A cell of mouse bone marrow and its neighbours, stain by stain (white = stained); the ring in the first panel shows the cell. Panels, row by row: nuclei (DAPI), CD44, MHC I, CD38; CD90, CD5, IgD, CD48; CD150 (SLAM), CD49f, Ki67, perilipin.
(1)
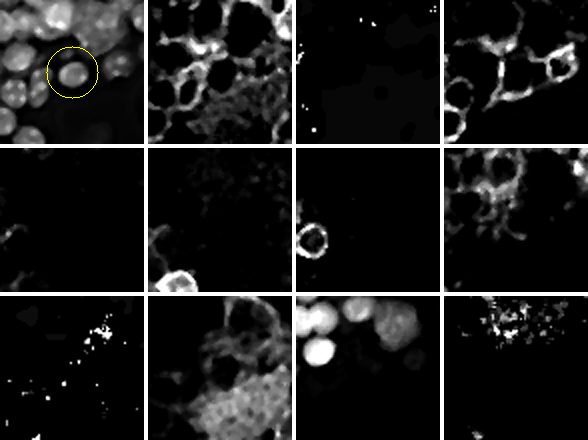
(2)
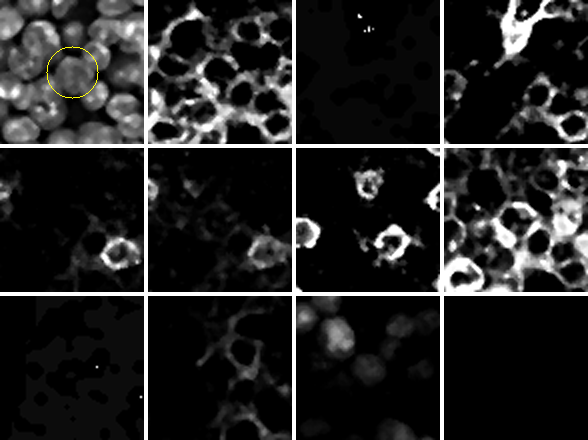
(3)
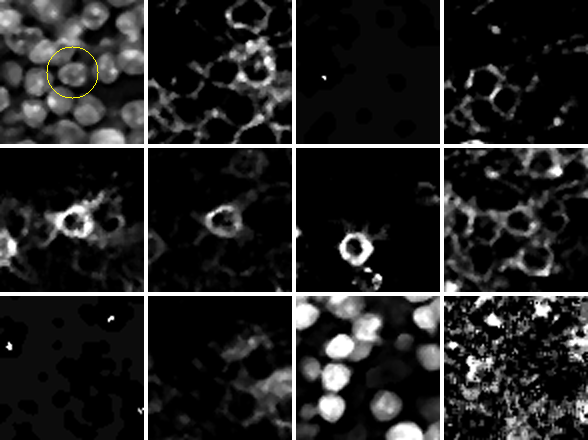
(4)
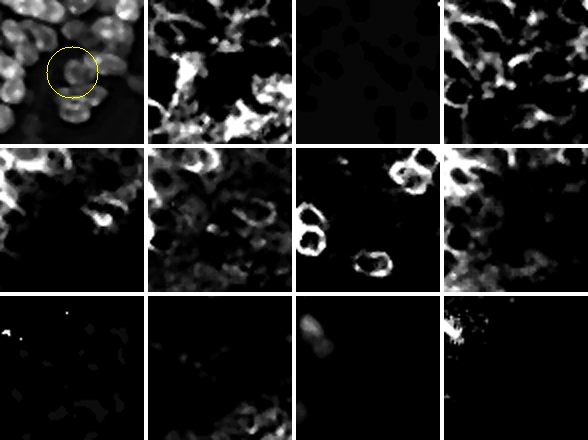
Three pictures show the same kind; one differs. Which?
Picture 3: a T cell, while the others are capillary endothelial cells.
